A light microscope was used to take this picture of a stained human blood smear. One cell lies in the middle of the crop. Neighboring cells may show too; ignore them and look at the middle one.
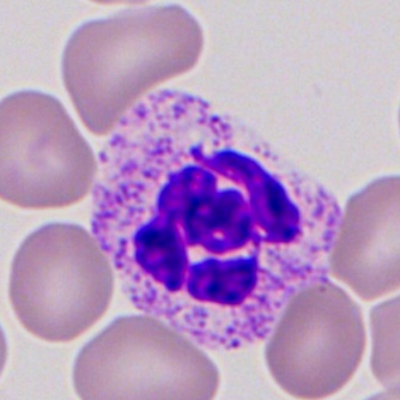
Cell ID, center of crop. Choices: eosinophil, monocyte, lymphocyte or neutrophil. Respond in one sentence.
The crop's centre is taken up by a neutrophil.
